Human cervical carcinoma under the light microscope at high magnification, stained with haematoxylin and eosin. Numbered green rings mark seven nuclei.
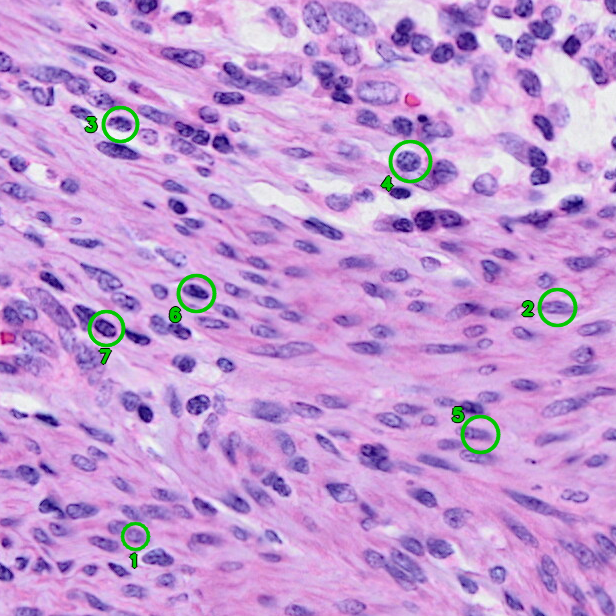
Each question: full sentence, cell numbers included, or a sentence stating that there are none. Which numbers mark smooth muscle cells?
The cells marked with the numbers 1, 2 and 5 are smooth muscle cells.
